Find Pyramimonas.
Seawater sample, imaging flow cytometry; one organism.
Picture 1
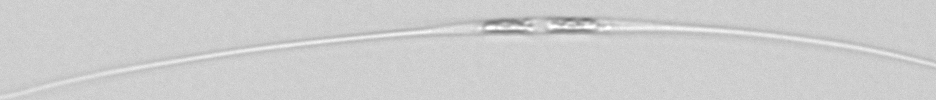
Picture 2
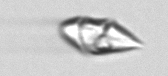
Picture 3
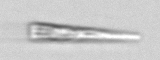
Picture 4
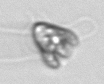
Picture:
4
